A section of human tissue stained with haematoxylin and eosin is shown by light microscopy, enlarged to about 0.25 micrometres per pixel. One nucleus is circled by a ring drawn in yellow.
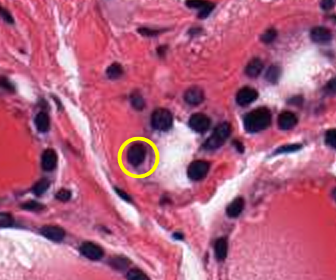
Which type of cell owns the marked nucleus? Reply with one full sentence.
The marked nucleus forms part of a thyroid follicular cell.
